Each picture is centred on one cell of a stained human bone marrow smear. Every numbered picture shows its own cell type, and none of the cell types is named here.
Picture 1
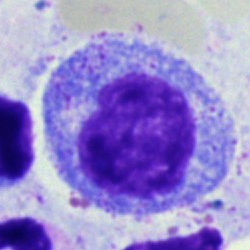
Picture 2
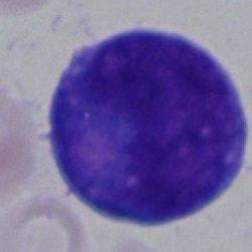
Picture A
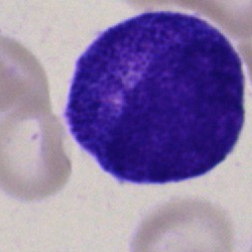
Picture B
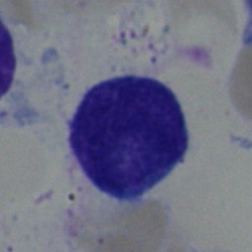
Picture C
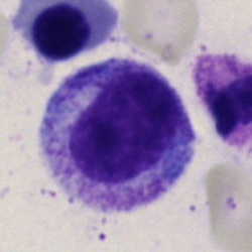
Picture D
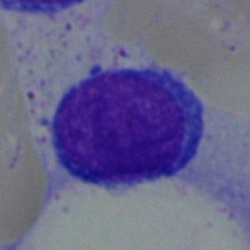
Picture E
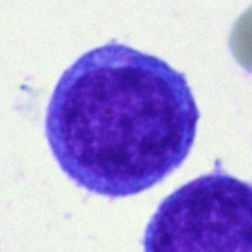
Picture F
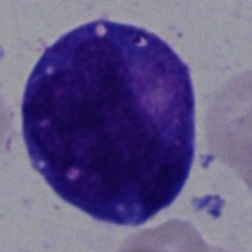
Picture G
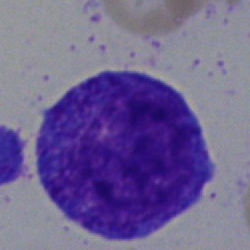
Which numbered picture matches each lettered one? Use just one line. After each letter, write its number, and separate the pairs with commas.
A 1, B 2, C 1, D 2, E 2, F 2, G 1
